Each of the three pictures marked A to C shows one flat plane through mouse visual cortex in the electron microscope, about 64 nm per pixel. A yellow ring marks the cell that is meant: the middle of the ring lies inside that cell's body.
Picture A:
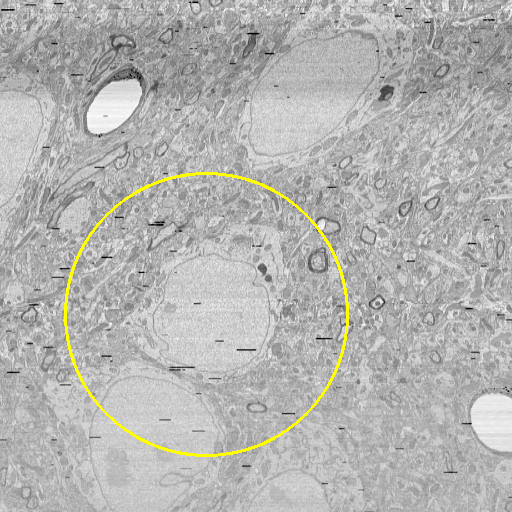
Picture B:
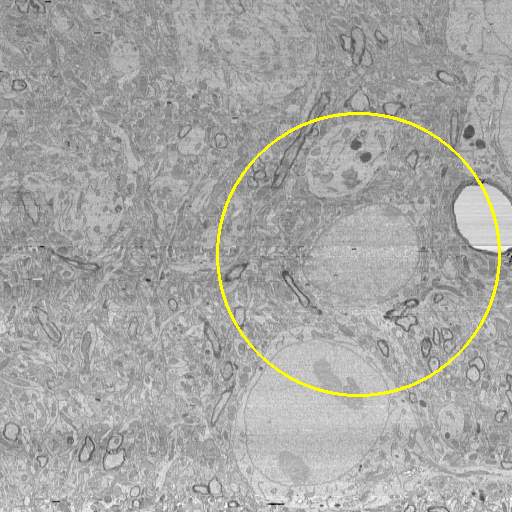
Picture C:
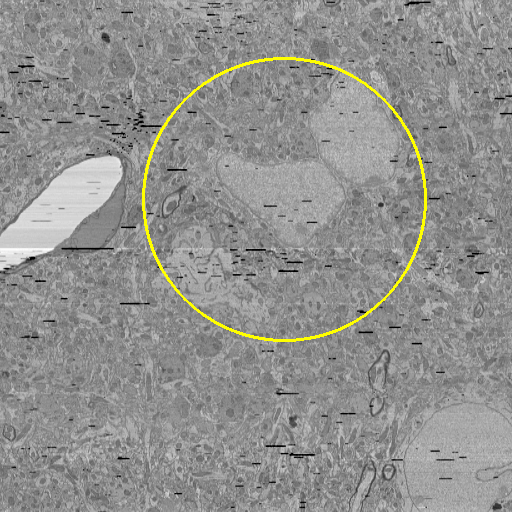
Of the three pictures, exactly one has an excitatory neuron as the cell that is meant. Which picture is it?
It is picture A that shows the excitatory neuron.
